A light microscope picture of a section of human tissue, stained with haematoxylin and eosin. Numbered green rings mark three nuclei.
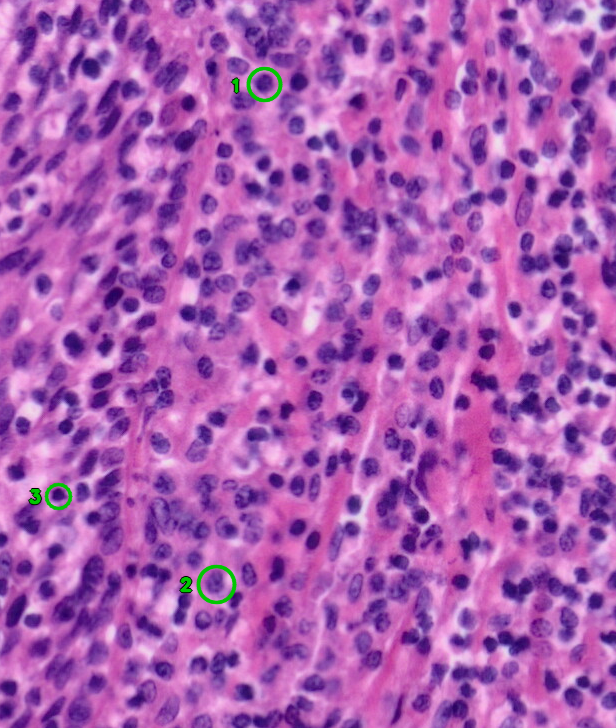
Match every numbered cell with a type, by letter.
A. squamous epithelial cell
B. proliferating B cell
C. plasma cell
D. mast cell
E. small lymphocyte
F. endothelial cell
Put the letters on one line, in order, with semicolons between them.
C; C; A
